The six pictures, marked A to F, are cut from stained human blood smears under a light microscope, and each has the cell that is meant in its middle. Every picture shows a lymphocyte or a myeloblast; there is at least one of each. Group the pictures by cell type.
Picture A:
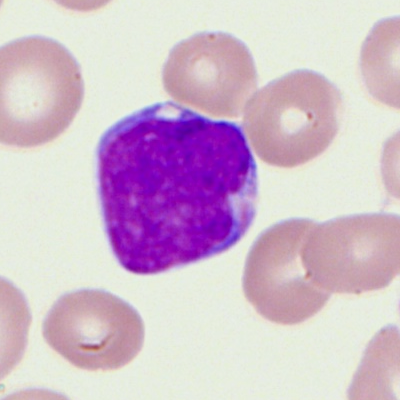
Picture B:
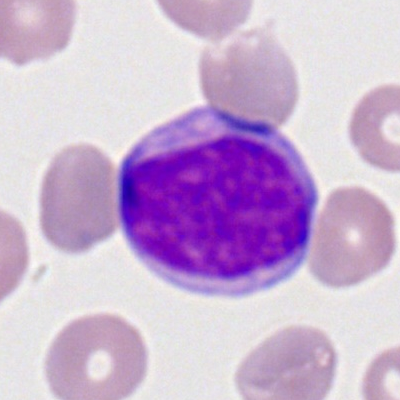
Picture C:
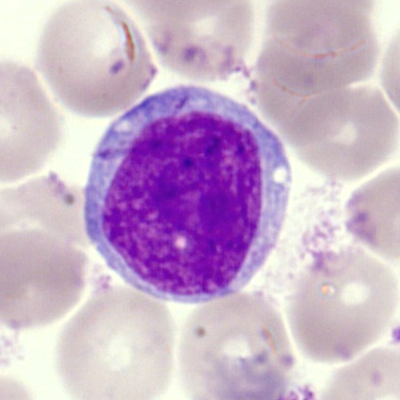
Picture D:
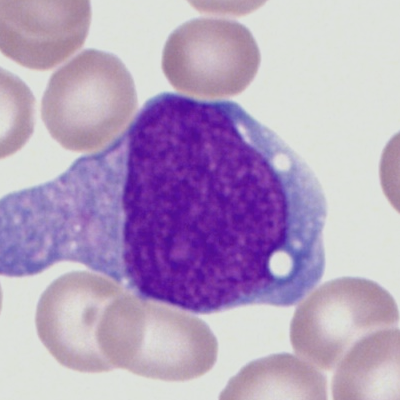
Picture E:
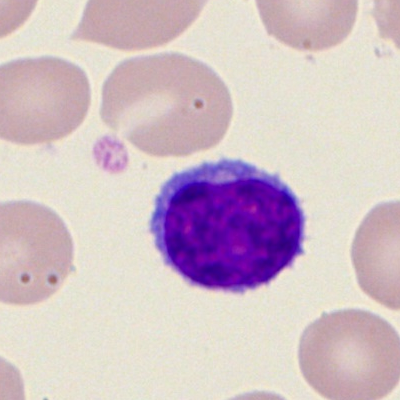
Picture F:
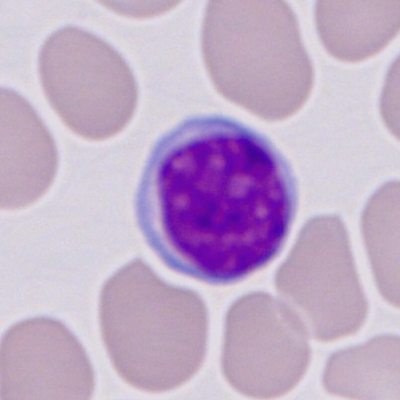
A: myeloblast
B: myeloblast
C: myeloblast
D: myeloblast
E: lymphocyte
F: lymphocyte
